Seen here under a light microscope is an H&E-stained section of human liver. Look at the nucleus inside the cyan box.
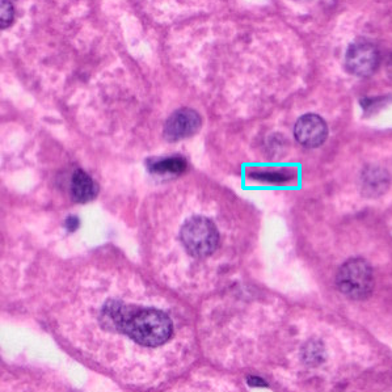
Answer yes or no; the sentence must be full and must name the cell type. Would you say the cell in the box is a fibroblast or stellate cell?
Yes, it is the case that the cell in the box is a fibroblast or stellate cell.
